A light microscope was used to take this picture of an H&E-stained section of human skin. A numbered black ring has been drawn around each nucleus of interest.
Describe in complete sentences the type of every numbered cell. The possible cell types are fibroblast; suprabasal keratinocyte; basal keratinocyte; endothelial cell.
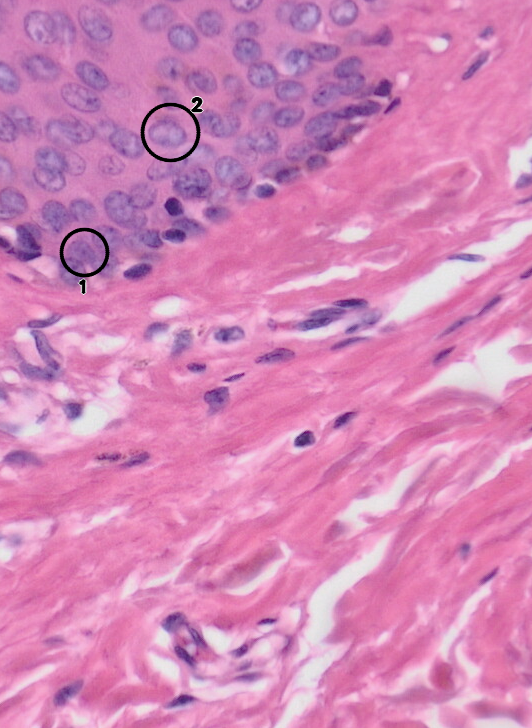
Cell 1 is a basal keratinocyte and cell 2 is a suprabasal keratinocyte.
